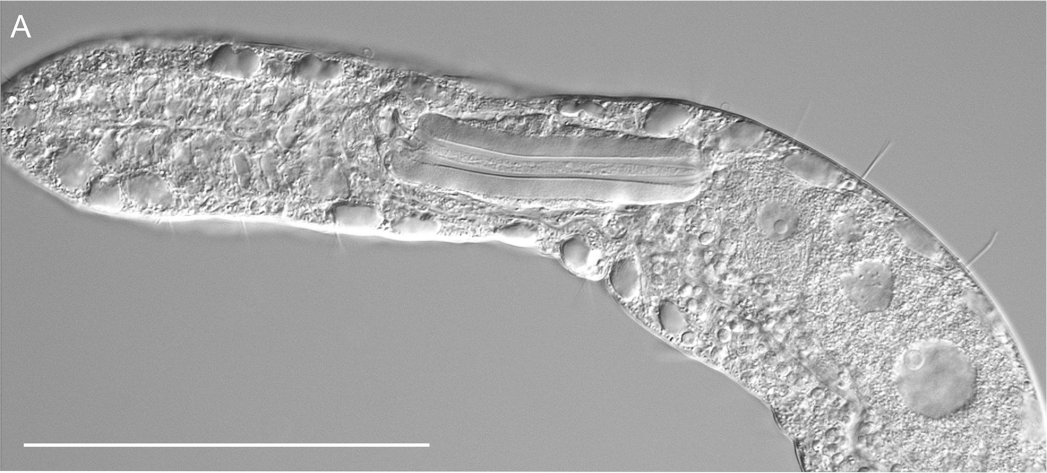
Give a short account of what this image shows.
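Trunk region of a small worm-like animal seen in internal view, showing maturing oocytes followed by an elongate organ. Toward one end of the trunk, the body is filled with finely granular cytoplasm of large oocytes. Several round, pale nuclei with nucleoli are visible there. Behind them lies a sharply bounded, elongate, cylindrical organ with a straight central canal and finely striated walls. Beyond this organ the trunk narrows into a rounded end packed with irregular vacuolated tissue and scattered refractile droplets. A thin cuticle outlines the body, and a few fine bristles project from its surface.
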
